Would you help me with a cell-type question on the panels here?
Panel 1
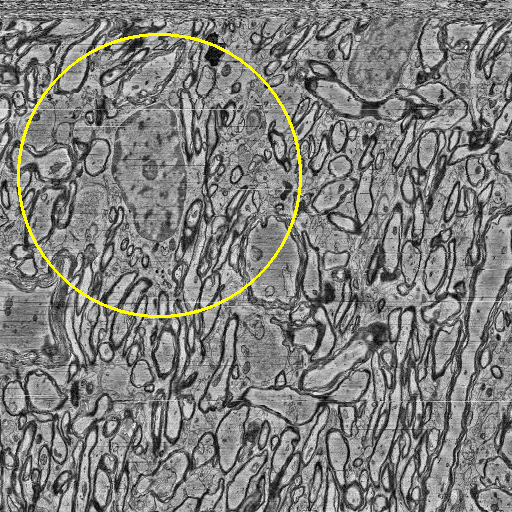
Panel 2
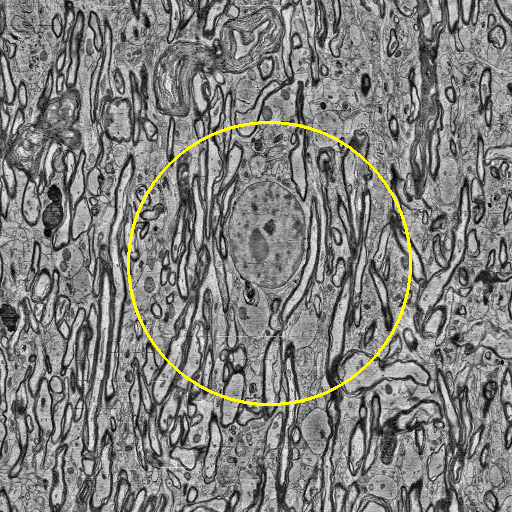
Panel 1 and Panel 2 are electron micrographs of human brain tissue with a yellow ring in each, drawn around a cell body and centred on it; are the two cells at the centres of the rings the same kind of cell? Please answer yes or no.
yes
